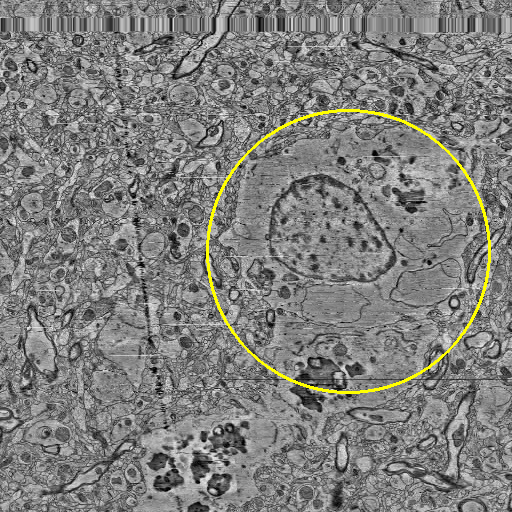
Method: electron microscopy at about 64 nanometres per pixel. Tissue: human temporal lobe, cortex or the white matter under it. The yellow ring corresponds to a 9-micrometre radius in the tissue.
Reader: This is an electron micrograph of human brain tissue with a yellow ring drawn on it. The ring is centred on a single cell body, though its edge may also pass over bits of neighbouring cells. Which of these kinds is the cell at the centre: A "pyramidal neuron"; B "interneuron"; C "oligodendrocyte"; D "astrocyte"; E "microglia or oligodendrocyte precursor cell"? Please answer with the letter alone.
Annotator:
D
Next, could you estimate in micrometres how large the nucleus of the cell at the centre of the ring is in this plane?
In this plane, roughly 8 by 7 micrometres.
